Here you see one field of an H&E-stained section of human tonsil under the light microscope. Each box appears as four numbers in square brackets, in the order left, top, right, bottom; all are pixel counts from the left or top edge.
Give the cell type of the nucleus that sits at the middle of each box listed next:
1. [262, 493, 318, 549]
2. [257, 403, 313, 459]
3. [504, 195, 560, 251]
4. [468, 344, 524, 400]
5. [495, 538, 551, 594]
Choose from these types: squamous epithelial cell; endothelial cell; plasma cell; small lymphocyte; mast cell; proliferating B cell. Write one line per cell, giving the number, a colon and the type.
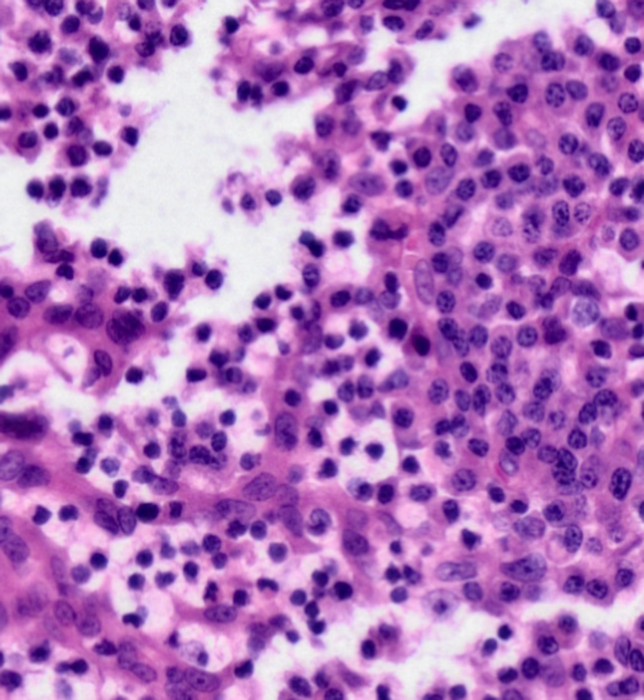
1: squamous epithelial cell
2: squamous epithelial cell
3: plasma cell
4: plasma cell
5: squamous epithelial cell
